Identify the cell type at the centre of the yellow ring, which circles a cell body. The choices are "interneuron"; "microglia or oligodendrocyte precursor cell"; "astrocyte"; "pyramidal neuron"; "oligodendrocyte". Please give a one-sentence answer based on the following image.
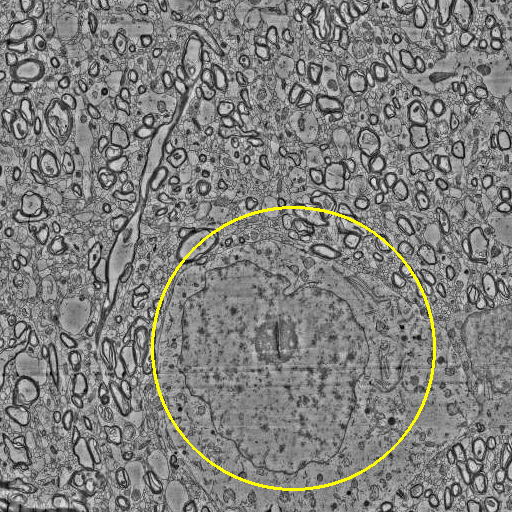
The cell marked by the ring is a pyramidal neuron.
